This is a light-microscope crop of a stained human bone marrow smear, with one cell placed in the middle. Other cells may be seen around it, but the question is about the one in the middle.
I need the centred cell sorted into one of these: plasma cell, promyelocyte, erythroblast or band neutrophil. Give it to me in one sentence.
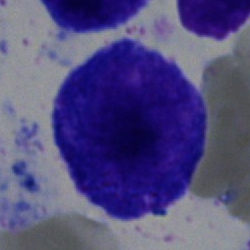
The middle position in this crop is taken by a promyelocyte.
